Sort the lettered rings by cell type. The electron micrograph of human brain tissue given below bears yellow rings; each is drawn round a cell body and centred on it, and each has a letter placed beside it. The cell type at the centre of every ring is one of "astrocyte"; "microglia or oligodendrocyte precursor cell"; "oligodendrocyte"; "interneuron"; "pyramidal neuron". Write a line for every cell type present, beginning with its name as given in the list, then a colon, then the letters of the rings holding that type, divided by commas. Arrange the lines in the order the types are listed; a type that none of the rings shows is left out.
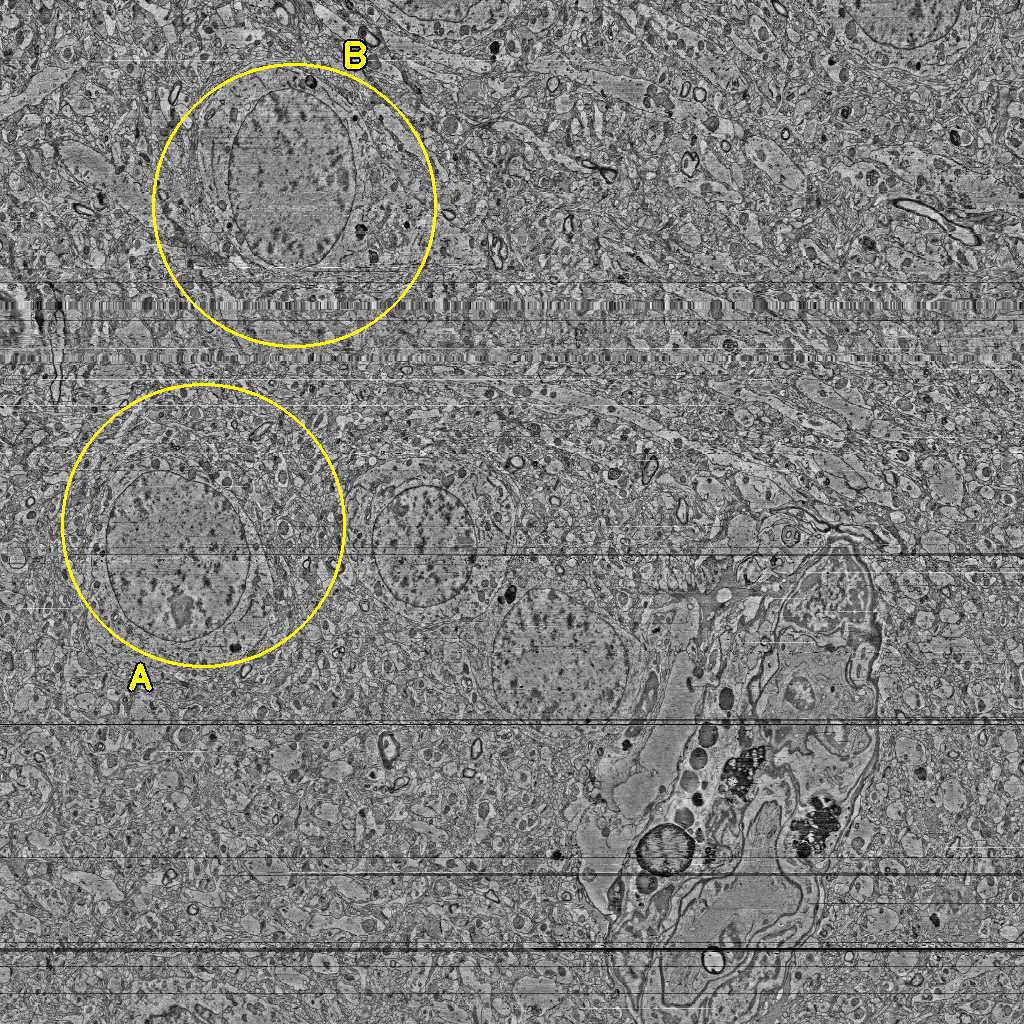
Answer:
pyramidal neuron: A, B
